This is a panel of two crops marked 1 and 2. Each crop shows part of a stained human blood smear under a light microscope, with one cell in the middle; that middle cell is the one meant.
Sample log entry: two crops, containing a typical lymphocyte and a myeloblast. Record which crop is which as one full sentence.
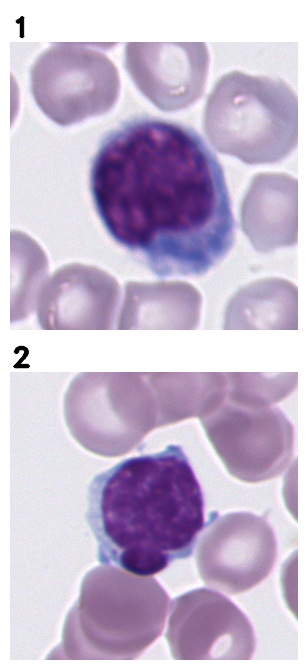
Crop 1 holds a myeloblast; crop 2 holds a typical lymphocyte.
